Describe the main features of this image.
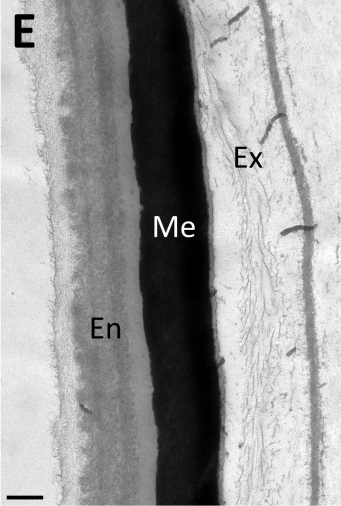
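A broad inner endospore of moderate grey density, with faint parallel banding, lies next to a thick, uniformly electron-dense, almost black mesospore. Outside it lies a paler, loosely fibrous exospore crossed by a few short dark streaks, with a thin grey line at its outer edge.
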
